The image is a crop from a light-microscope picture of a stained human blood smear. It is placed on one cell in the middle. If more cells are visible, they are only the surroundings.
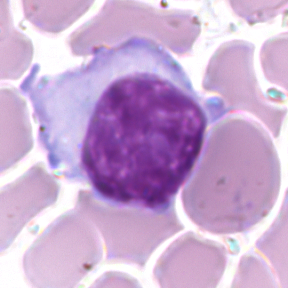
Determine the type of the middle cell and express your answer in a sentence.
As for the central cell, it is a plasma cell.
